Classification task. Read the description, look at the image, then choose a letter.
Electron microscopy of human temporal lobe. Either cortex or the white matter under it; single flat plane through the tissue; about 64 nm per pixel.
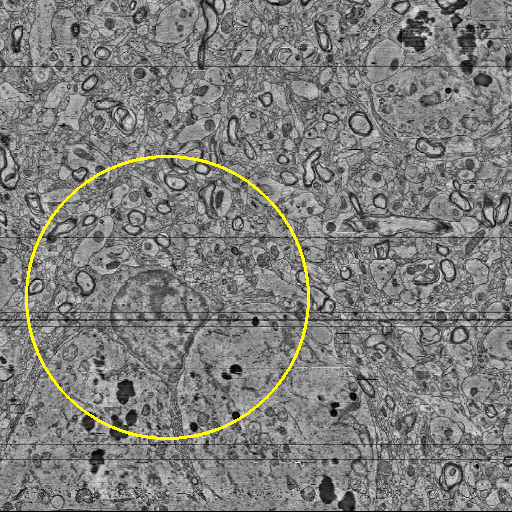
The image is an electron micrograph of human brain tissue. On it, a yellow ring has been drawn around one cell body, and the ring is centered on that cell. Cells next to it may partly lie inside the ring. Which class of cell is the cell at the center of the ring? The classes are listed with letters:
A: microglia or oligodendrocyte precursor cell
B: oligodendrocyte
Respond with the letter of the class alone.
B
